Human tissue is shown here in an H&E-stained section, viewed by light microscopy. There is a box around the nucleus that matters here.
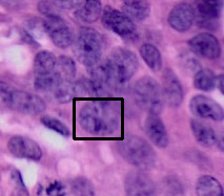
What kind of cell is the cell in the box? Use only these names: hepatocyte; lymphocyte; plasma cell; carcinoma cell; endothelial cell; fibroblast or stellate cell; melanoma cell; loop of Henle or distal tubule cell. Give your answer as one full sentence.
The category to which the cell in the box belongs is that of a carcinoma cell.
